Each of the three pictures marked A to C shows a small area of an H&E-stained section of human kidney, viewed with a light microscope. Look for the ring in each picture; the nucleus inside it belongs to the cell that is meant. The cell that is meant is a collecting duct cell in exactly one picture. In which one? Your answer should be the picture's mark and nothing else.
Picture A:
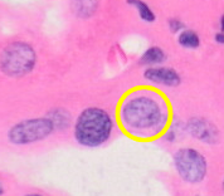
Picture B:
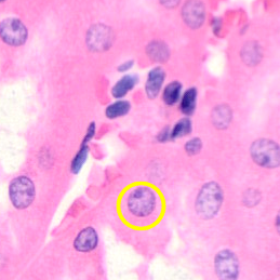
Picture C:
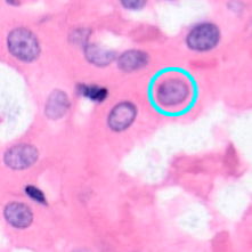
A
